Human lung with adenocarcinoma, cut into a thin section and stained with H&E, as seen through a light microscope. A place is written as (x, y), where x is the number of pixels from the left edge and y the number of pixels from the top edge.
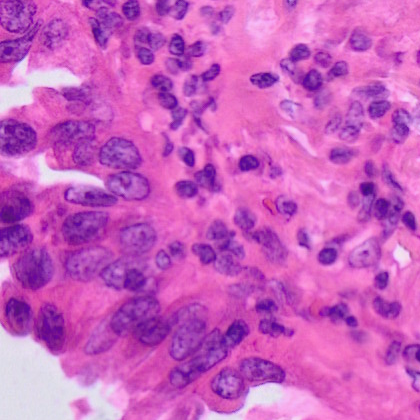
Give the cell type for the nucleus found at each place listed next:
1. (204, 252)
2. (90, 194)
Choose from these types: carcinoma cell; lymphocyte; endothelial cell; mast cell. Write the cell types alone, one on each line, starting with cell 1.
lymphocyte
carcinoma cell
